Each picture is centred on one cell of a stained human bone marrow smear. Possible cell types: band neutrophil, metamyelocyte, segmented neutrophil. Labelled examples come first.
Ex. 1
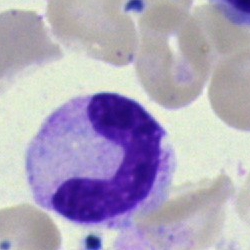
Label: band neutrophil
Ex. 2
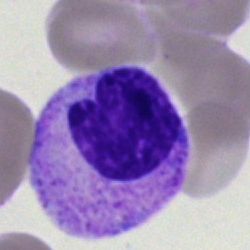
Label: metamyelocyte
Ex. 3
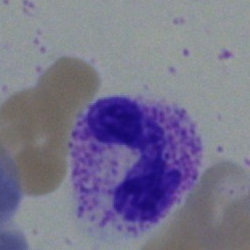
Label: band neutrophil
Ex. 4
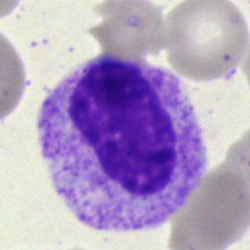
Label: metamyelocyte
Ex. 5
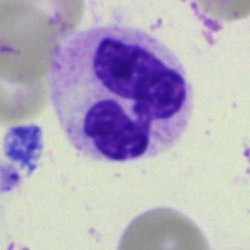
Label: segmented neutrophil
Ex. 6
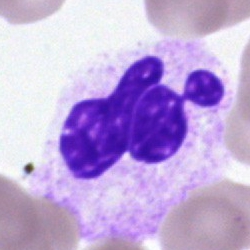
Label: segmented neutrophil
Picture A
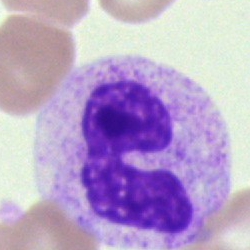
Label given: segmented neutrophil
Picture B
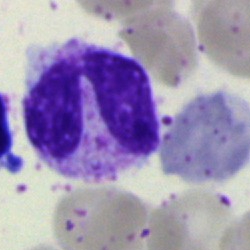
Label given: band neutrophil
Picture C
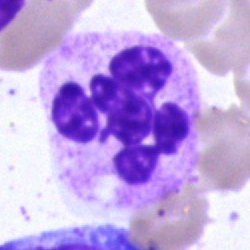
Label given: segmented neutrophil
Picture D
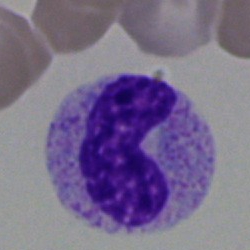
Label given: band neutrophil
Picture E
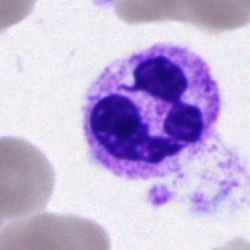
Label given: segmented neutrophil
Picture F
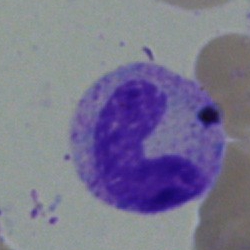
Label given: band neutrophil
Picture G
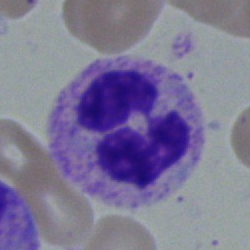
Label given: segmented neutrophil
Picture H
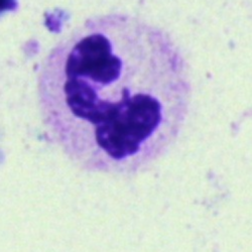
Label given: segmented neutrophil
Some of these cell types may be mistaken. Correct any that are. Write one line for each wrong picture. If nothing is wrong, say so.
B should be segmented neutrophil, not band neutrophil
